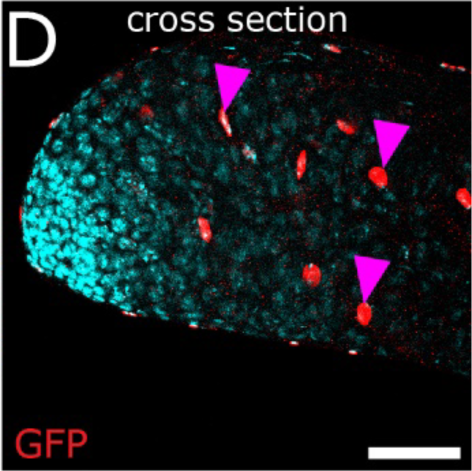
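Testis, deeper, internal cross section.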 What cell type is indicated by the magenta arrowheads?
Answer: somatic cyst cell nuclei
